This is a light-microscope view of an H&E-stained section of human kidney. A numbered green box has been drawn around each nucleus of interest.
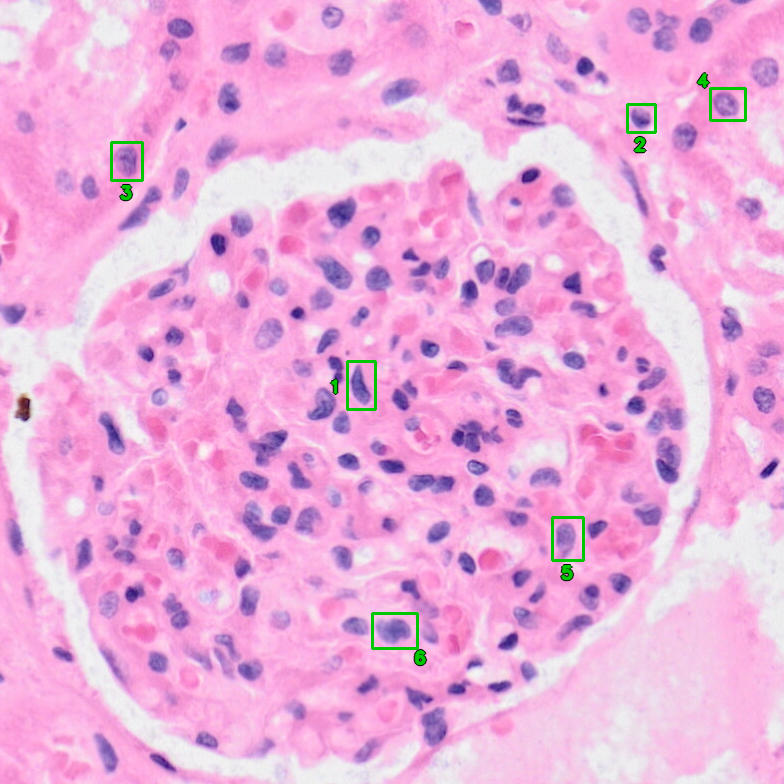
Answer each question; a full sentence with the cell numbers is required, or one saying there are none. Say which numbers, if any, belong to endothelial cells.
By cell type, the cells numbered 1, 2, 5 and 6 are endothelial cells.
